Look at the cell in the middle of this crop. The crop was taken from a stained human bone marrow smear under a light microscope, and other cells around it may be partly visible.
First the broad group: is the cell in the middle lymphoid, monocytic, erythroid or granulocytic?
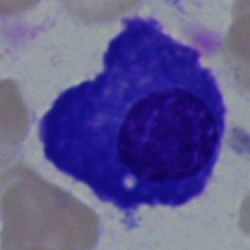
lymphoid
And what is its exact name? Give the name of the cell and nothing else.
plasma cell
